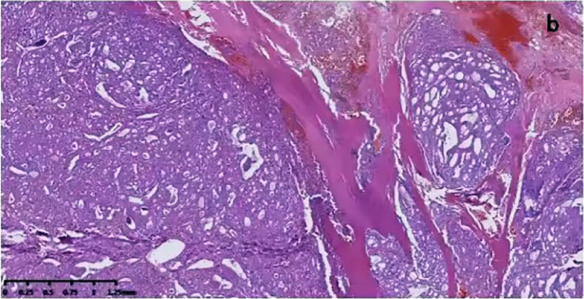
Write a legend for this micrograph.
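At low power, large rounded nodules of tightly packed purple tumor tissue, riddled with small follicle-like spaces, are separated by broad bands of dense pink fibrous tissue with some haemorrhage. Tumor nodules of differing size lie on both sides of these fibrous bands, one small nodule sitting within and beyond the band. The picture is that of tumor breaching its fibrous capsule, with nodules of tumor cells lying outside it.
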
